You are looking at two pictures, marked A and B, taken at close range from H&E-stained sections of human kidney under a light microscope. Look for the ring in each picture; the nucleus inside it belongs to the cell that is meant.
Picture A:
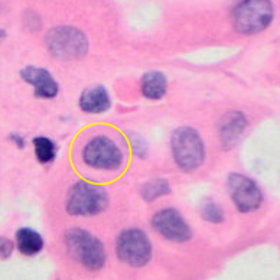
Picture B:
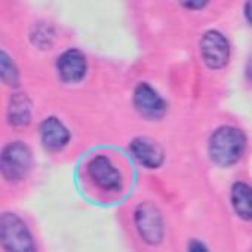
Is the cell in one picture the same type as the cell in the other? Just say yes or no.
no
